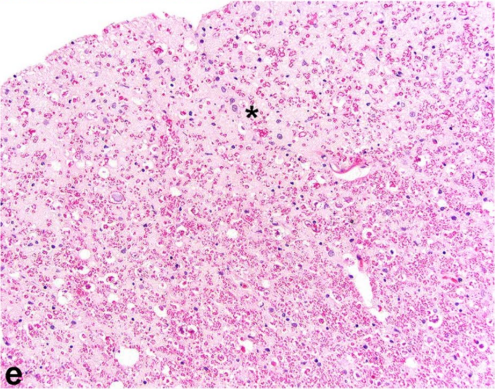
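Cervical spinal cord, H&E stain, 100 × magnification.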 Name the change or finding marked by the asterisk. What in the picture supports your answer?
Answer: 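The asterisk lies in a paler, more uniform fibrillar area among vacuolated, speckled white matter. The answer: dense astrogliosis.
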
